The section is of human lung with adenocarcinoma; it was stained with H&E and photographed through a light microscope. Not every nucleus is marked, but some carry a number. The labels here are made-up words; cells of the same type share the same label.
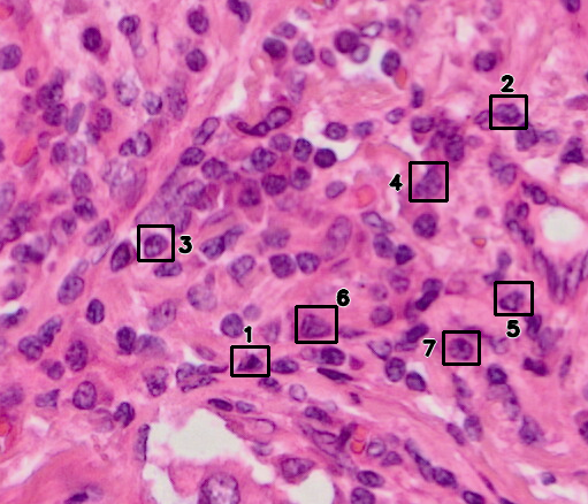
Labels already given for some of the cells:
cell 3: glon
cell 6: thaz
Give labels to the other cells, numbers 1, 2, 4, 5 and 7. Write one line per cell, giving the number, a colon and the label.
1: glon
2: glon
4: thaz
5: thaz
7: thaz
